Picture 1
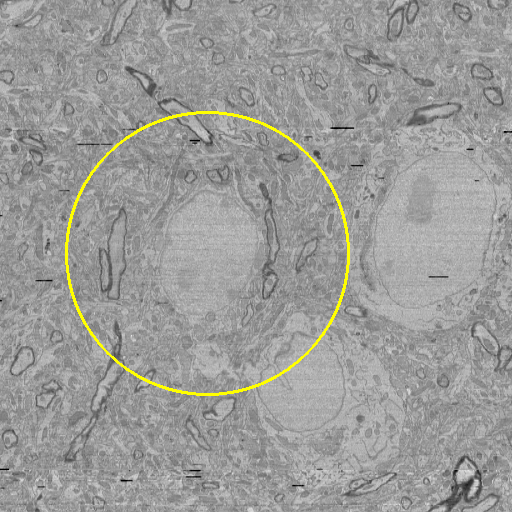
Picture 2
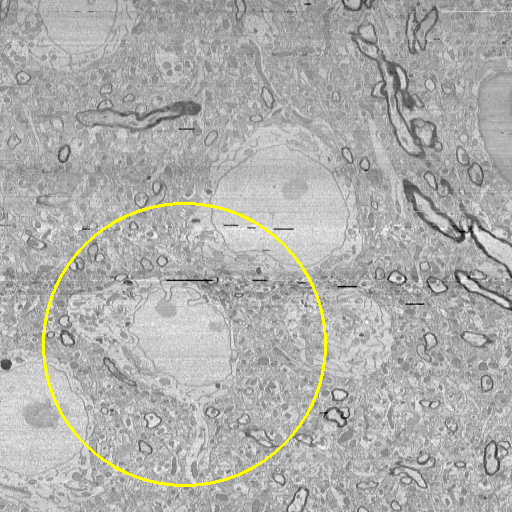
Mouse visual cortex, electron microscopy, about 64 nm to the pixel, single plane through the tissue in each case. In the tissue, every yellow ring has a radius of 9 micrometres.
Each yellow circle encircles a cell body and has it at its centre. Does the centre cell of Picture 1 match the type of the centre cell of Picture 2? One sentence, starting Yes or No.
No, the cell centred in Picture 1 and the one in Picture 2 have separate types.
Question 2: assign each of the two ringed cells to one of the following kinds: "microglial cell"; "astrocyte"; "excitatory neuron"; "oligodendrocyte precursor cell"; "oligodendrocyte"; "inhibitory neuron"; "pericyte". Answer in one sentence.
The two cells are an astrocyte in the first picture and an excitatory neuron in the second.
